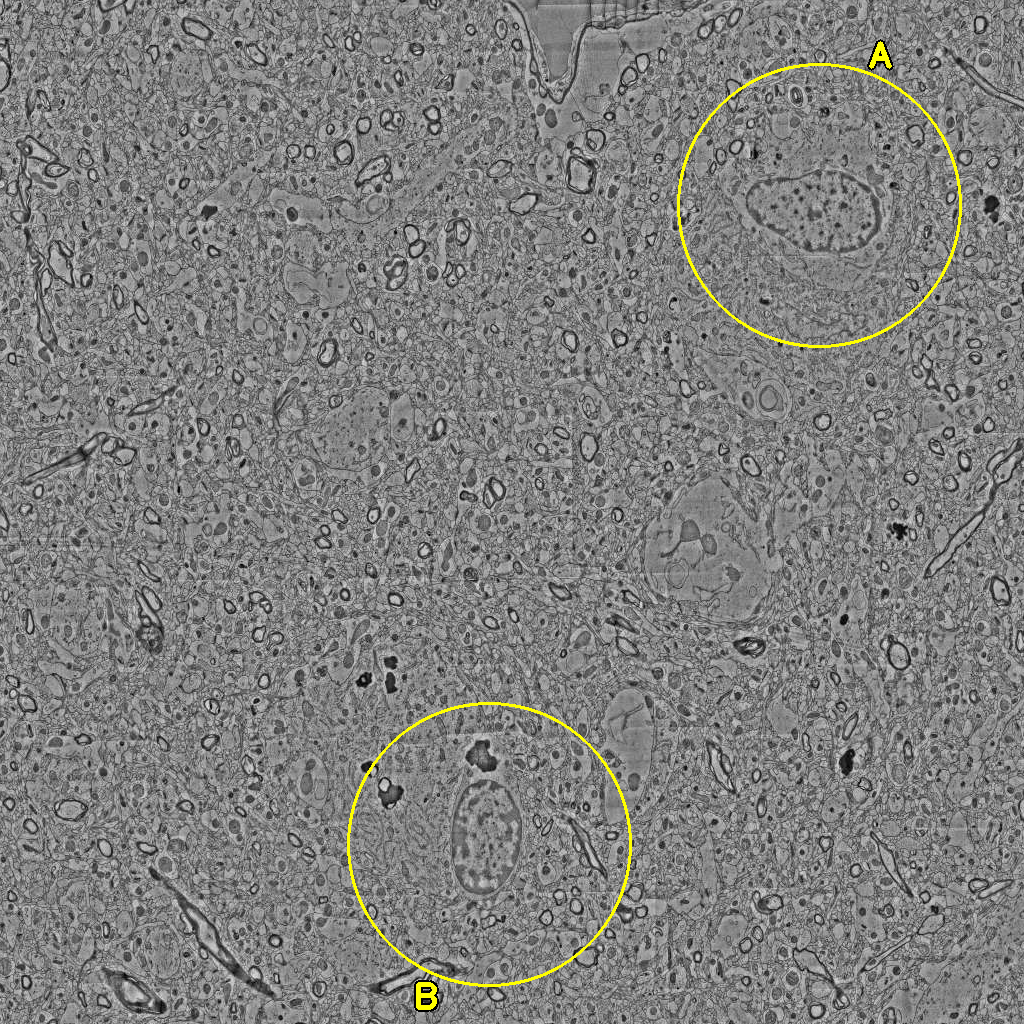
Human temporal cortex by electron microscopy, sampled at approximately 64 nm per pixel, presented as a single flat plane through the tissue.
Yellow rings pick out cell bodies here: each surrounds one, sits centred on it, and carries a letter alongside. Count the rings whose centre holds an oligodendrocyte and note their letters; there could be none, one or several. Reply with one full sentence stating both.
There is a single ring with an oligodendrocyte at its centre, and it is labelled B.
